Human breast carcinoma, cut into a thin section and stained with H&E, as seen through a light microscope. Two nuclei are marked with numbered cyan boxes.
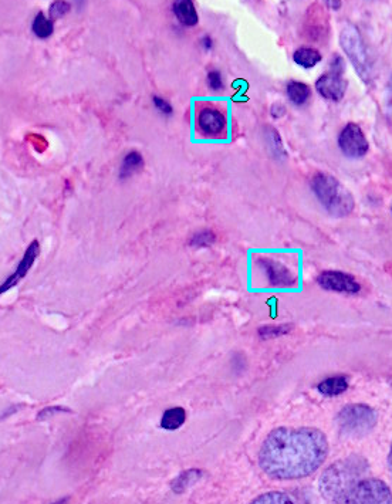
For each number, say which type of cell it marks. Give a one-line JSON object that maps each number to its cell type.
{"1": "fibroblast", "2": "mast cell"}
